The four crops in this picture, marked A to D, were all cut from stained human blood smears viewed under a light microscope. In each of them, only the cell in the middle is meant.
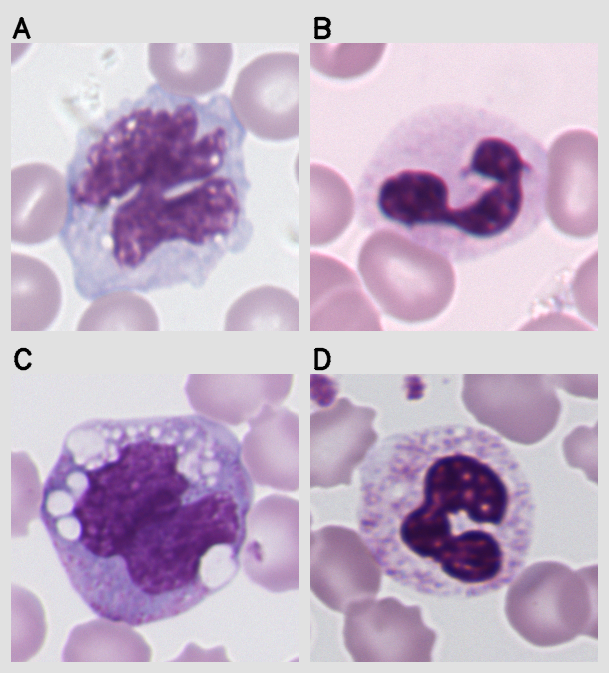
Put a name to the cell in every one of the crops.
A: monocyte
B: neutrophil
C: monocyte
D: neutrophil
